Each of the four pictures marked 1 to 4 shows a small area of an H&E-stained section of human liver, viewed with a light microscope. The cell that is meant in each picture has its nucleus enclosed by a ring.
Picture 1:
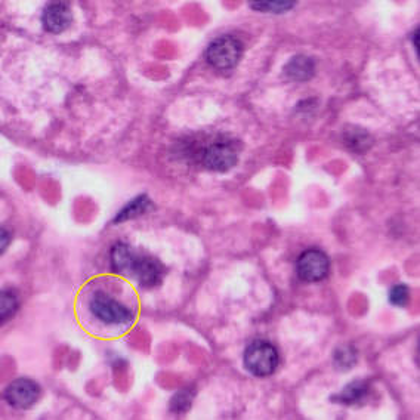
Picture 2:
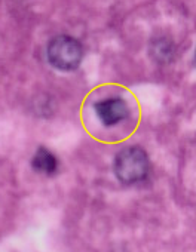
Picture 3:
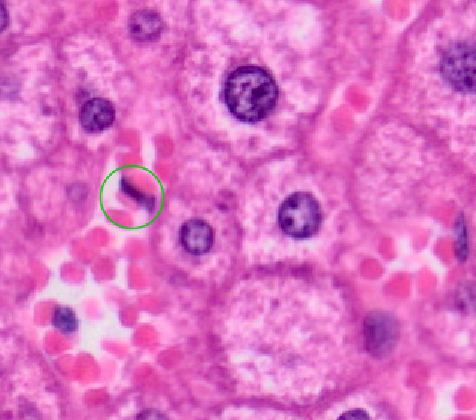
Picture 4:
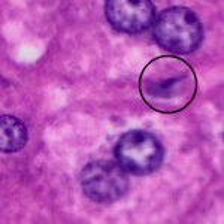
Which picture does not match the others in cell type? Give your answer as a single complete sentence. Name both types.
The others show endothelial cells, but picture 1 shows a “fibroblast or stellate cell”.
